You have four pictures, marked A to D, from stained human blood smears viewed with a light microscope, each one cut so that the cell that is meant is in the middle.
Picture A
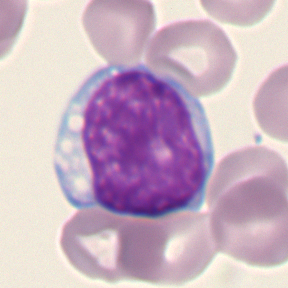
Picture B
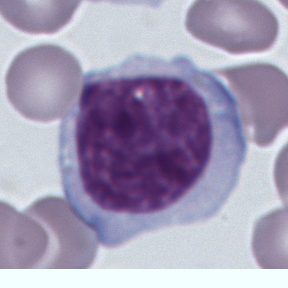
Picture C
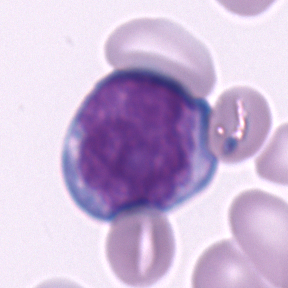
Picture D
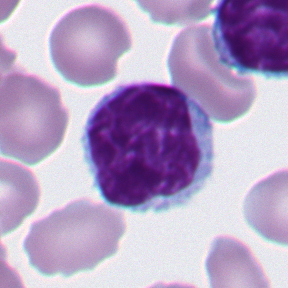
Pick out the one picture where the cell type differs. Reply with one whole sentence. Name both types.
Unlike the rest, which show myeloblasts, picture D shows a typical lymphocyte.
